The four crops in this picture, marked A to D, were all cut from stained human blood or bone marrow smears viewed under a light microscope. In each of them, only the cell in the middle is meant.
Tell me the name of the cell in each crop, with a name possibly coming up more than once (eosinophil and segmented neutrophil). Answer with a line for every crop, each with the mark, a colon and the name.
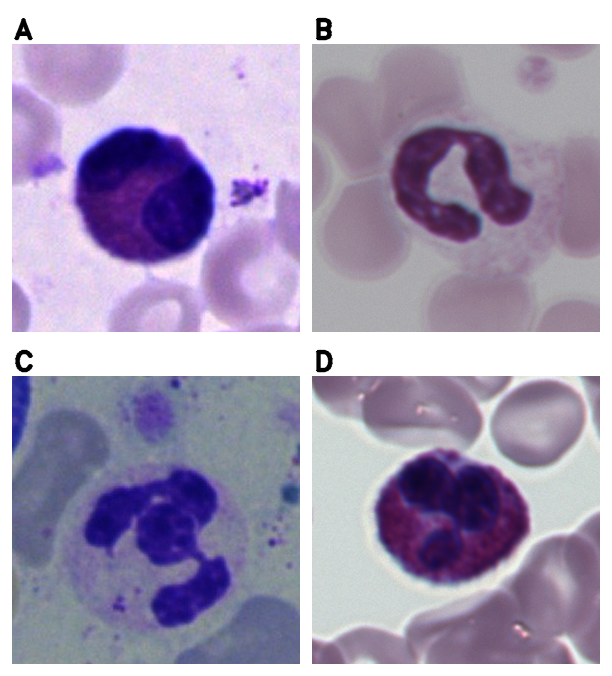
A: eosinophil
B: segmented neutrophil
C: segmented neutrophil
D: eosinophil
